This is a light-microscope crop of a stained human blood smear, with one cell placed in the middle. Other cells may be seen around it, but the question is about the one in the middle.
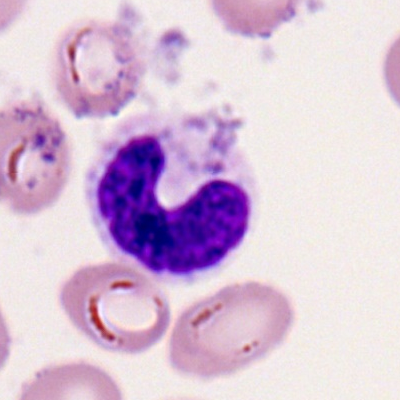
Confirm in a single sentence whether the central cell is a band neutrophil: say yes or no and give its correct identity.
Yes, the middle cell of the field is a band neutrophil.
